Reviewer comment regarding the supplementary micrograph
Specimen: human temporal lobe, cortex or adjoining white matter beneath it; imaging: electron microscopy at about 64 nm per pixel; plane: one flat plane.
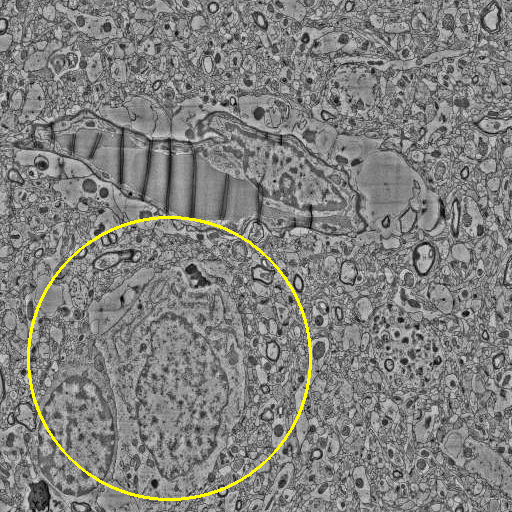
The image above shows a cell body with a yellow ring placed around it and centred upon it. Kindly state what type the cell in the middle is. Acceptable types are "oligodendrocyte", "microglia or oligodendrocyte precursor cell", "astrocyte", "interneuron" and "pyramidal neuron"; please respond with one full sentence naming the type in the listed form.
In the image above, the cell on which the yellow ring is centred is an interneuron.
